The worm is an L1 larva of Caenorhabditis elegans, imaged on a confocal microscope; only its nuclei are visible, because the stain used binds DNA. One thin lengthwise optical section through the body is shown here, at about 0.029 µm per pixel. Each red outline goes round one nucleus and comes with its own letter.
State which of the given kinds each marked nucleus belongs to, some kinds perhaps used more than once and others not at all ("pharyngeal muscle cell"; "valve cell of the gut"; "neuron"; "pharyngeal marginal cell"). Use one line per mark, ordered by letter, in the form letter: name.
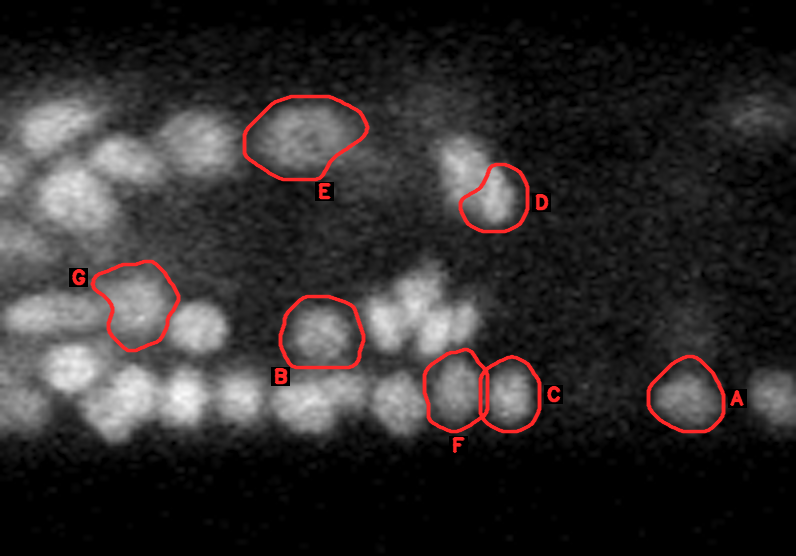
A: neuron
B: pharyngeal marginal cell
C: neuron
D: valve cell of the gut
E: pharyngeal muscle cell
F: neuron
G: pharyngeal muscle cell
